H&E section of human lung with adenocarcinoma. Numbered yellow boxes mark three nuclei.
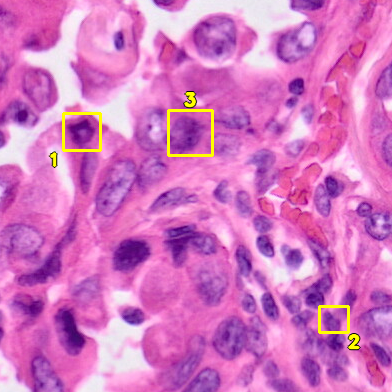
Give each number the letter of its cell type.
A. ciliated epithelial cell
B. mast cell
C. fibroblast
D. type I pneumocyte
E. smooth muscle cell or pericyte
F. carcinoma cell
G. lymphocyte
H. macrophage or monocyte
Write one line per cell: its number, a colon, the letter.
1: F
2: G
3: F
